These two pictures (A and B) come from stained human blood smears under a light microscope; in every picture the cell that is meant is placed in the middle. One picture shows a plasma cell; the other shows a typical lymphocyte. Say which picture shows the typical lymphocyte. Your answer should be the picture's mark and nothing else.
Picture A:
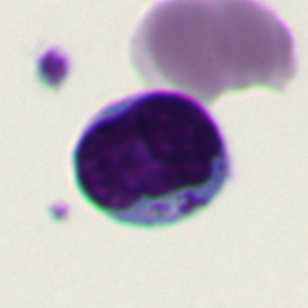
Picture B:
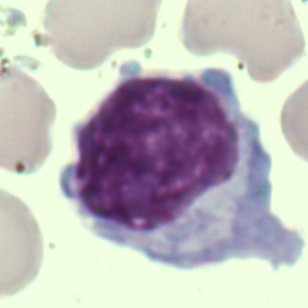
A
